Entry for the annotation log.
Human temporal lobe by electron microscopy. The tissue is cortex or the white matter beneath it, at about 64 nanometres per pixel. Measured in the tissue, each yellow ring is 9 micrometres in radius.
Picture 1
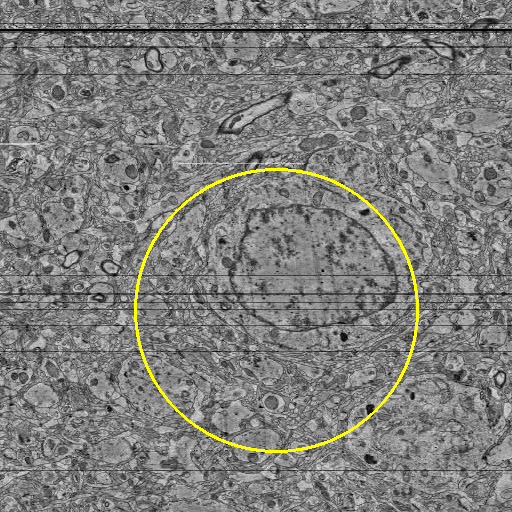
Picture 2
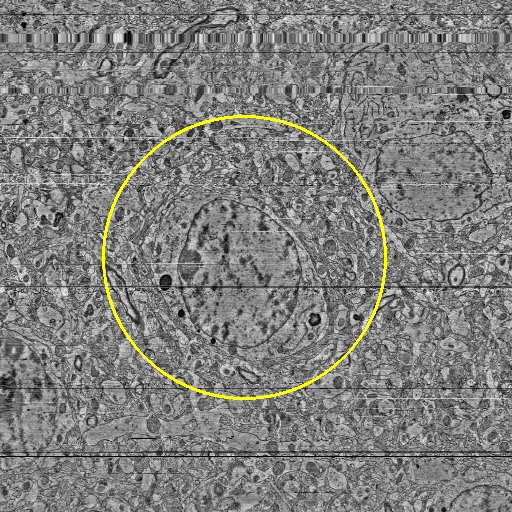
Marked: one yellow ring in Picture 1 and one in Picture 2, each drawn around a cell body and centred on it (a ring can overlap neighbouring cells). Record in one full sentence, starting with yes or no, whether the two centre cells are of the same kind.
Yes, both cells are of the same kind.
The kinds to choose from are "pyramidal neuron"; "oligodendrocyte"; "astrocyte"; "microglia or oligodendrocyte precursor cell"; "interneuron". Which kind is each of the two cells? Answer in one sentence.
The cell at the ring centre is a pyramidal neuron in both pictures.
